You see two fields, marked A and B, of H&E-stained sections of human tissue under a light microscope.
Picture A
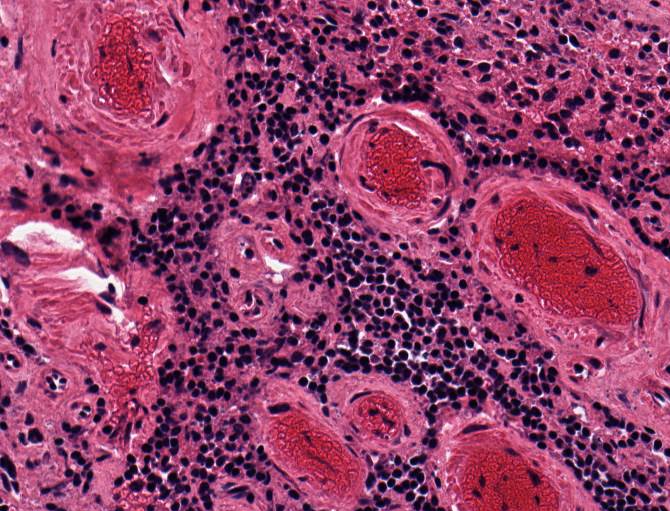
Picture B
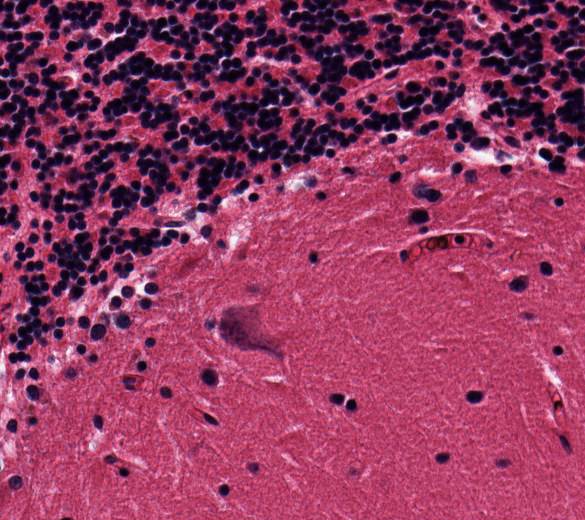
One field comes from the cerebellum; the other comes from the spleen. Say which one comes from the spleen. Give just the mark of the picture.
A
